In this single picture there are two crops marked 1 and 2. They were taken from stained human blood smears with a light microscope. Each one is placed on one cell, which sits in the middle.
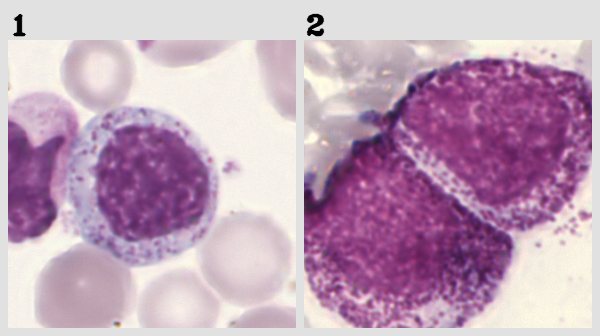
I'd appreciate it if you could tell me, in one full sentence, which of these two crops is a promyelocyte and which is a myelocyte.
Crop 1 displays a myelocyte, and crop 2 displays a promyelocyte.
